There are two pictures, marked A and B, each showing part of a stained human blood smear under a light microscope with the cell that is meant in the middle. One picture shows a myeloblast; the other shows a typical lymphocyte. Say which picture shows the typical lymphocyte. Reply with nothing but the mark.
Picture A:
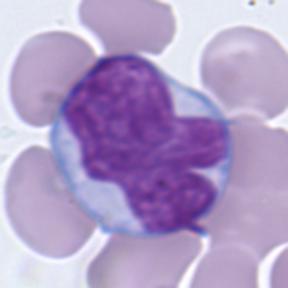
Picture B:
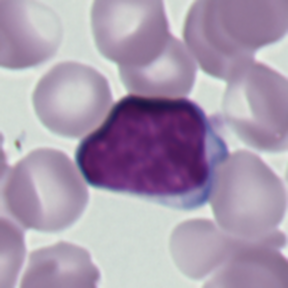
B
